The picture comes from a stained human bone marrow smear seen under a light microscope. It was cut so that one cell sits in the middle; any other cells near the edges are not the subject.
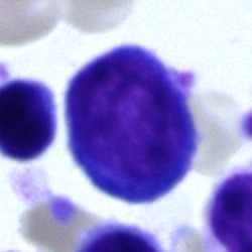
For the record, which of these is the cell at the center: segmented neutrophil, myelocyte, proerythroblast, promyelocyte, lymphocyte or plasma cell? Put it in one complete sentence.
The central cell shown in this smear crop is a proerythroblast.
